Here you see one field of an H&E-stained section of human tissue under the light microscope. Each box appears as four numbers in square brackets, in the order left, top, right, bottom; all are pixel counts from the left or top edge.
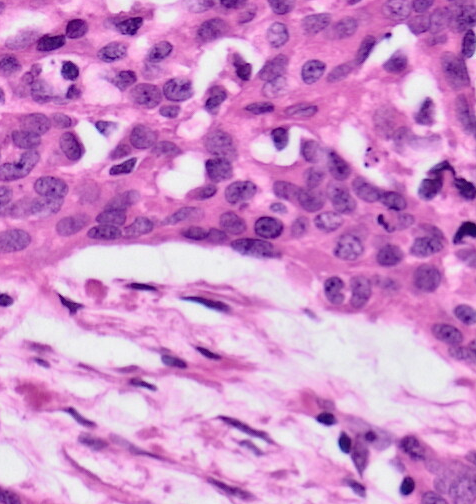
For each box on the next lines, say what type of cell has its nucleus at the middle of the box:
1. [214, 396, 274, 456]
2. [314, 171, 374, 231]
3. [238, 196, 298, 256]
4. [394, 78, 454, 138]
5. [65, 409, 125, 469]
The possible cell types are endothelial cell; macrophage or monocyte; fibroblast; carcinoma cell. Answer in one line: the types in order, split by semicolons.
fibroblast; carcinoma cell; carcinoma cell; carcinoma cell; fibroblast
